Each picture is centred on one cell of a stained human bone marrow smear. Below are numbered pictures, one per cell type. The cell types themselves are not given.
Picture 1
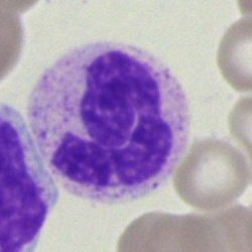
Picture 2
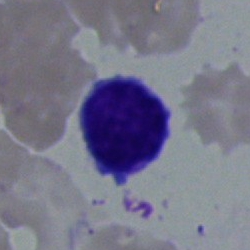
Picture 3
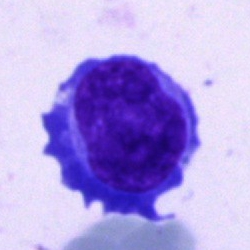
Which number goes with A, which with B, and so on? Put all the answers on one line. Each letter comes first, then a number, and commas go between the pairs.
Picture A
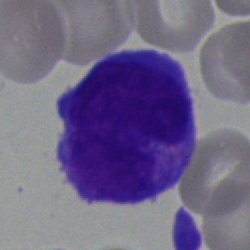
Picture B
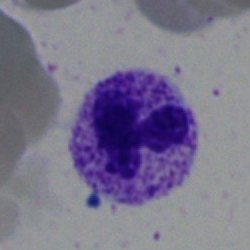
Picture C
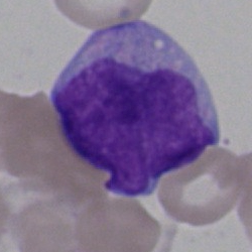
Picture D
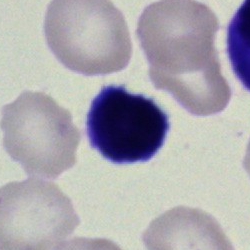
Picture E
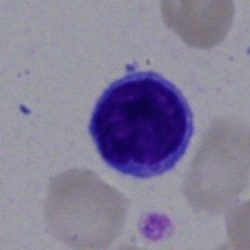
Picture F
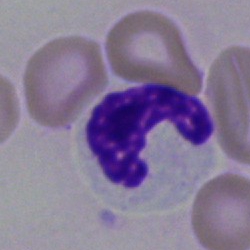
A 3, B 1, C 3, D 2, E 2, F 1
